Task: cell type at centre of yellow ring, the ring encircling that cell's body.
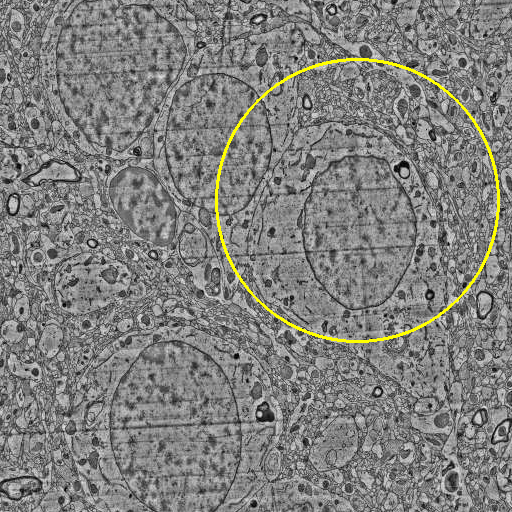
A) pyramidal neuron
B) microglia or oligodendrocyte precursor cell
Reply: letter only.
A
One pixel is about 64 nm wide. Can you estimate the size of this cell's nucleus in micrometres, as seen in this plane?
In this plane, about 10 micrometres in length and 8 in width.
